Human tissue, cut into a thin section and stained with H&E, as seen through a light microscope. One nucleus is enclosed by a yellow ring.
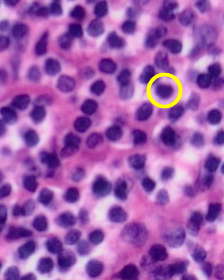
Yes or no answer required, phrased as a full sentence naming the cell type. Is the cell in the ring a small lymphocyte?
Yes, the cell in the ring is a small lymphocyte; nothing to add.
